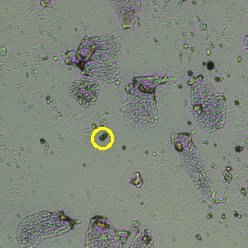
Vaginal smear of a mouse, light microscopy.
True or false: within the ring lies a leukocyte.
True: a leukocyte lies within the ring.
